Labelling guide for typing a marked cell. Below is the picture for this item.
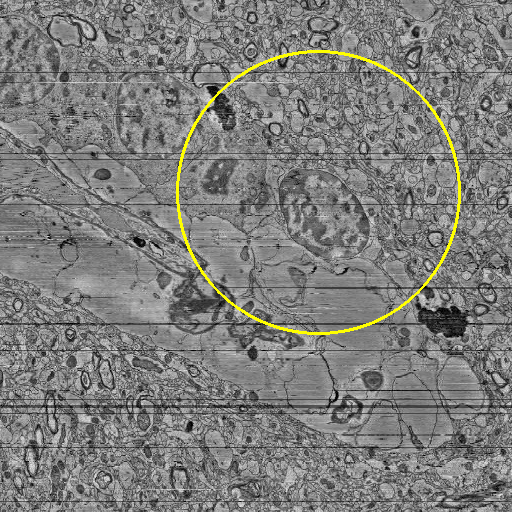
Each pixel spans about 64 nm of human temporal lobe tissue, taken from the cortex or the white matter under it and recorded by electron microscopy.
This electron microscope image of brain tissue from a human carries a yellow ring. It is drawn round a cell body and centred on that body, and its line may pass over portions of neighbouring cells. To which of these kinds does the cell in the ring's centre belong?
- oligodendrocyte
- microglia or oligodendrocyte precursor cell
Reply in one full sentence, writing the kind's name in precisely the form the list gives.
Here we have a microglial cell or oligodendrocyte precursor cell at the centre of the yellow ring in the picture.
